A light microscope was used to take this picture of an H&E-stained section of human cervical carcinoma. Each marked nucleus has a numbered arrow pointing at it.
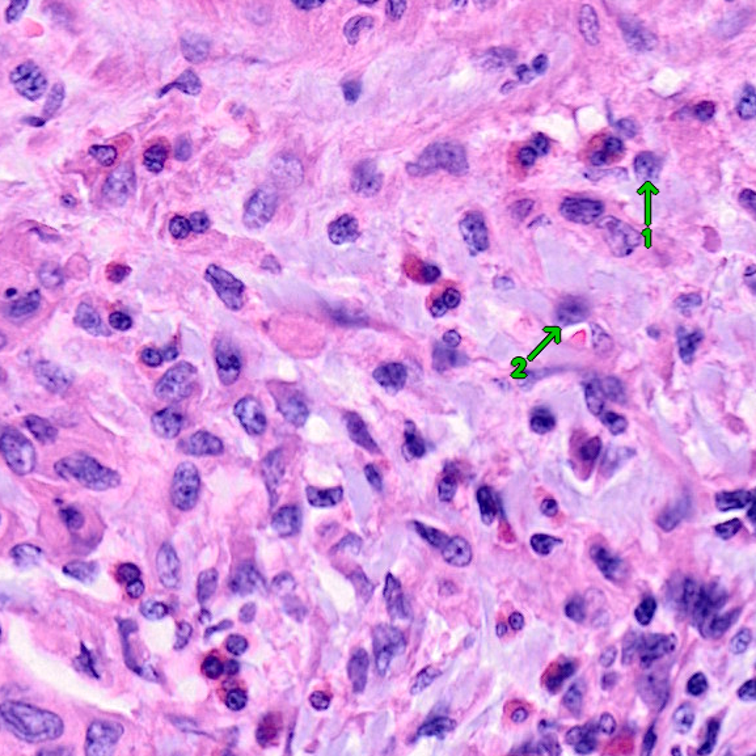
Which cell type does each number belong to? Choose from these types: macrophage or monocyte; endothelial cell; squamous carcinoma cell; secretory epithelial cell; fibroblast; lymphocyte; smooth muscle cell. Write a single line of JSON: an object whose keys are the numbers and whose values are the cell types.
{"1": "macrophage or monocyte", "2": "endothelial cell"}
